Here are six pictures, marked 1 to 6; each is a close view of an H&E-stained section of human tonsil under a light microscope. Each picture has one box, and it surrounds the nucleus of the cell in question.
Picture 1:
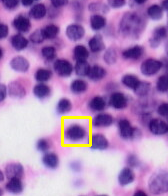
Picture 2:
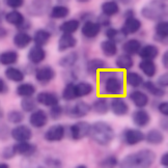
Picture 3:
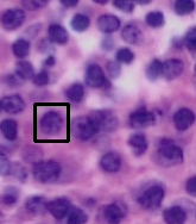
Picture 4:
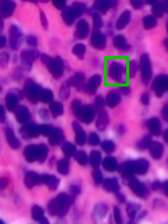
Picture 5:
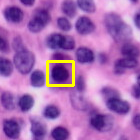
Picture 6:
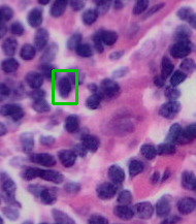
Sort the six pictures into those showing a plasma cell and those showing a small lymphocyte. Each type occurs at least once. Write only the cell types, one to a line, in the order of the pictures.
small lymphocyte
small lymphocyte
plasma cell
plasma cell
plasma cell
small lymphocyte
